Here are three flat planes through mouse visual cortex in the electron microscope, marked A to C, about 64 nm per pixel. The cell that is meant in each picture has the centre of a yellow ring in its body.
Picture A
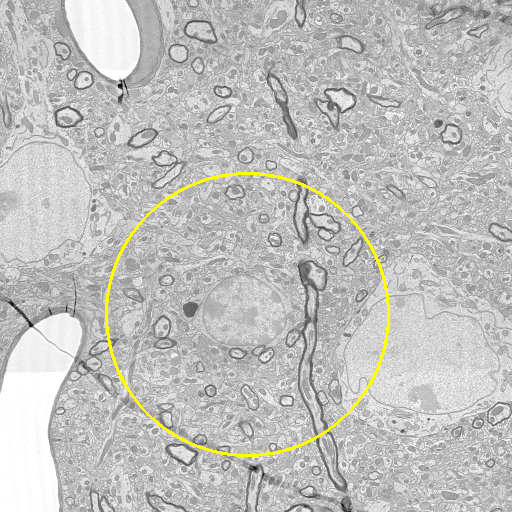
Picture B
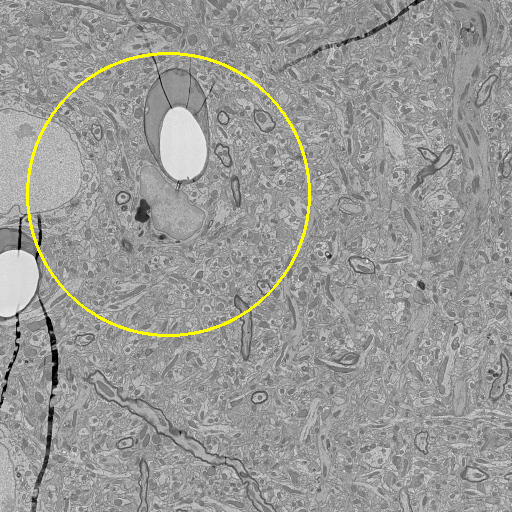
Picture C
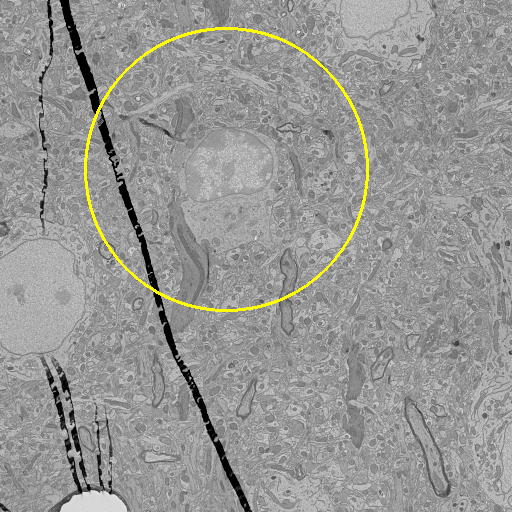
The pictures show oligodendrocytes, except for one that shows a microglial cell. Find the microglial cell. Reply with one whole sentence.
It is picture B that shows the microglial cell.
